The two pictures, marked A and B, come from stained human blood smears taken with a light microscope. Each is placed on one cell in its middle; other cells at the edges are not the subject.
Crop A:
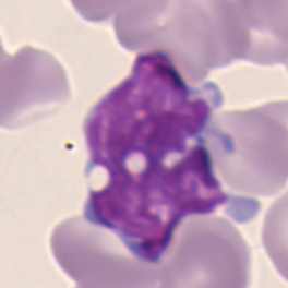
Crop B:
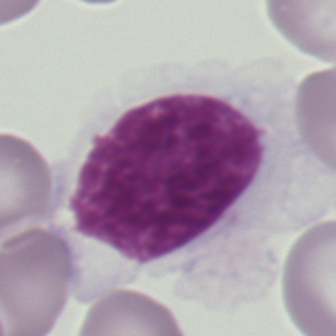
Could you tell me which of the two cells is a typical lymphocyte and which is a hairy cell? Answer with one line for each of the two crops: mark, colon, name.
A: typical lymphocyte
B: hairy cell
